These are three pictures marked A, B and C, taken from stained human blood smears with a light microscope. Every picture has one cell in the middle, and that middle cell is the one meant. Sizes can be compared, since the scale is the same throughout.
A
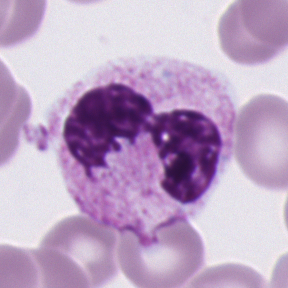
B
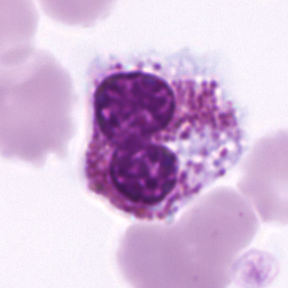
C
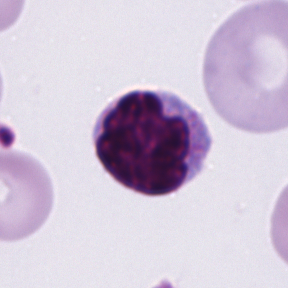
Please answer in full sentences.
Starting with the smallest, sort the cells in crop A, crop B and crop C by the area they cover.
Smallest first: C, B, A.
